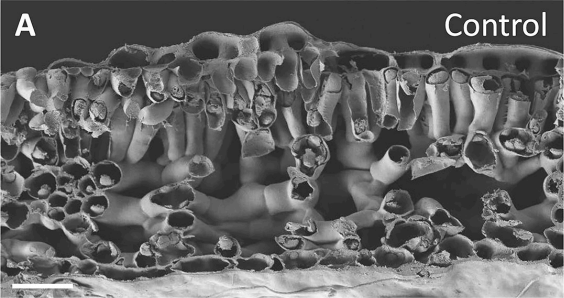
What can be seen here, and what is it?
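This is a cross-section of a leaf blade showing its layers of cells, with the spongy mesophyll in the lower half. A single layer of surface cells bounds the blade above and below. Beneath the upper surface stand tall, column-shaped cells packed side by side and oriented perpendicular to the surface. Below them, rounded and irregular cells are loosely arranged around large open air spaces. Many of the cut cells are hollow tubes, and some contain clumped material inside.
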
